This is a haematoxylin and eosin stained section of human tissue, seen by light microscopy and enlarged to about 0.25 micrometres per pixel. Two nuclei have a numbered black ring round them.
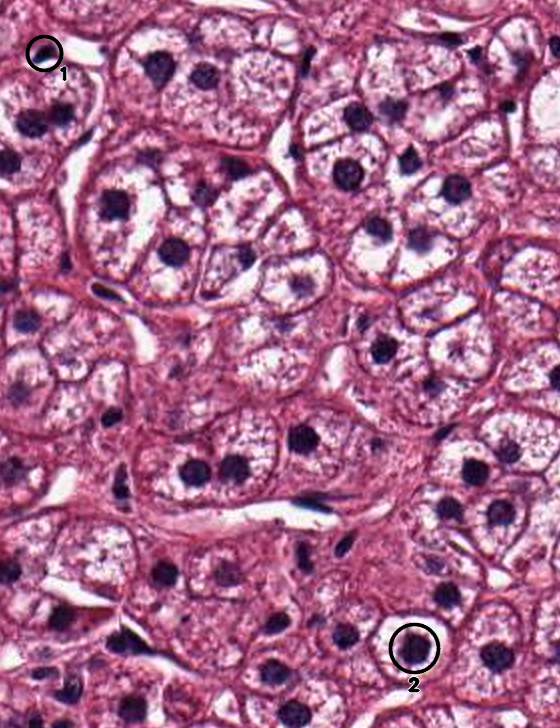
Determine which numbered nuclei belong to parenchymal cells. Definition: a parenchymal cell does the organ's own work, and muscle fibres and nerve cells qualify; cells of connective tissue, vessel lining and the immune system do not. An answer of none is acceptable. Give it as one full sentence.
Among the marked nuclei, a parenchymal cell is represented by nucleus 2 alone.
